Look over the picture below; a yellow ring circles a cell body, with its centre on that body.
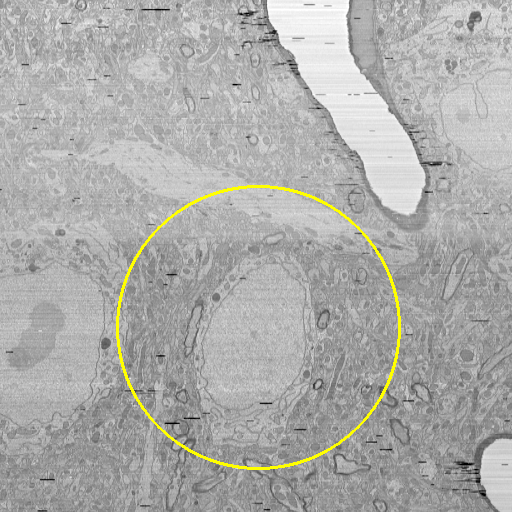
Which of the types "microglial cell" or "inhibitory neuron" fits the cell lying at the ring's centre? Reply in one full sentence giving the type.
The picture shows an inhibitory neuron at the centre of the yellow ring.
